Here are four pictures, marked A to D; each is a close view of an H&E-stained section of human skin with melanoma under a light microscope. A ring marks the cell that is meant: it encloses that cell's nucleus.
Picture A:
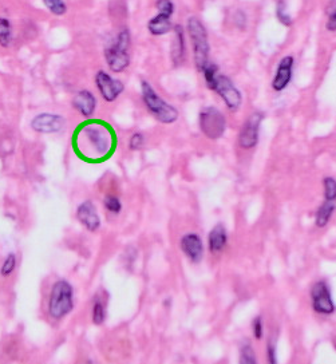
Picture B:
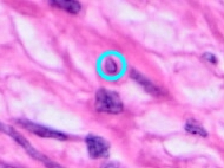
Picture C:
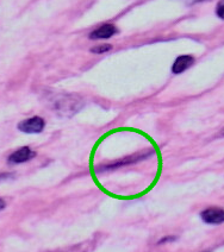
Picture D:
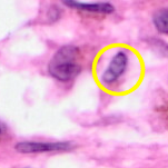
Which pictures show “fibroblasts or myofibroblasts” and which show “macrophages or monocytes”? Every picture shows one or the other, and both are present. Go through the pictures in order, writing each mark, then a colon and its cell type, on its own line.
A: macrophage or monocyte
B: macrophage or monocyte
C: fibroblast or myofibroblast
D: macrophage or monocyte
